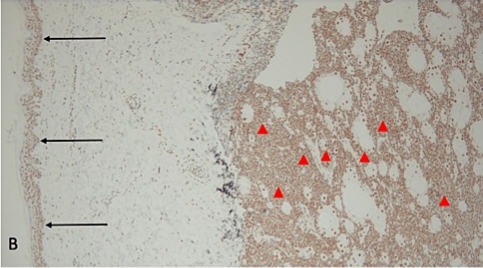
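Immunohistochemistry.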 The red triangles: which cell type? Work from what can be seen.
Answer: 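The triangles lie in a dense brown-stained cellular mass. The mass contains many round clear spaces.
Conclusion: tumor cells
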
